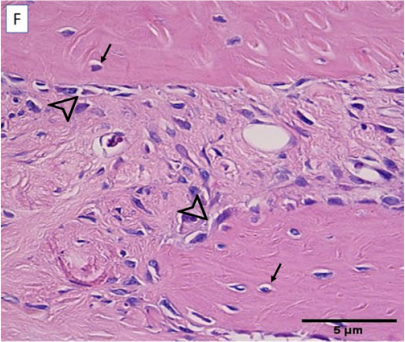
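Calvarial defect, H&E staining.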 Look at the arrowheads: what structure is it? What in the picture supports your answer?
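Osteoblastic rimming. Plump cells with dark nuclei line the surfaces of pink bone bands. The arrowheads point to these cells at the bone edge.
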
